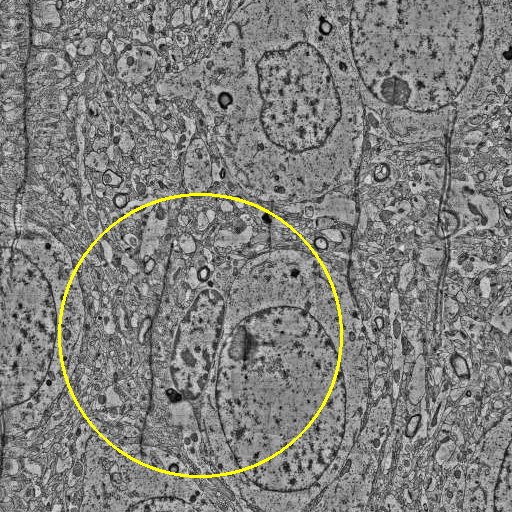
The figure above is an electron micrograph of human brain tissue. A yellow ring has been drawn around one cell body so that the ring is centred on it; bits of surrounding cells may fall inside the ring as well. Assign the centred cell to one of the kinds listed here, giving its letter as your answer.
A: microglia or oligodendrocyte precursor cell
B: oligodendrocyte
A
